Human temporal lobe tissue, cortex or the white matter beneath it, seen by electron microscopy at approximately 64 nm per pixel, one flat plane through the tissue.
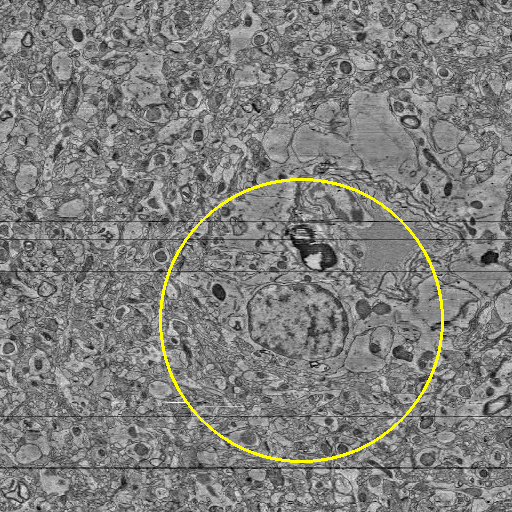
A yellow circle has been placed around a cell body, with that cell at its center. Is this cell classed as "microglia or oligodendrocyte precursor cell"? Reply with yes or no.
Yes, it belongs to that class.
